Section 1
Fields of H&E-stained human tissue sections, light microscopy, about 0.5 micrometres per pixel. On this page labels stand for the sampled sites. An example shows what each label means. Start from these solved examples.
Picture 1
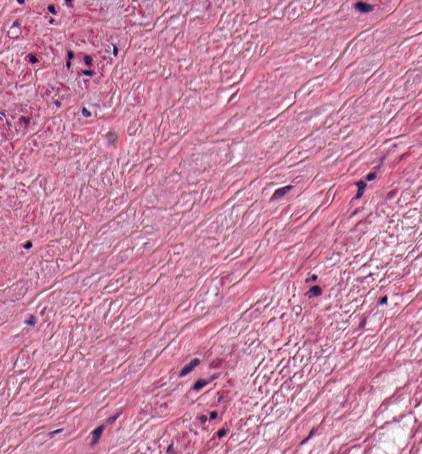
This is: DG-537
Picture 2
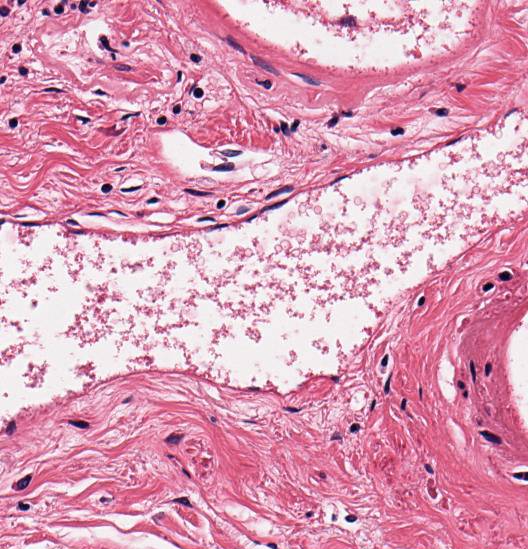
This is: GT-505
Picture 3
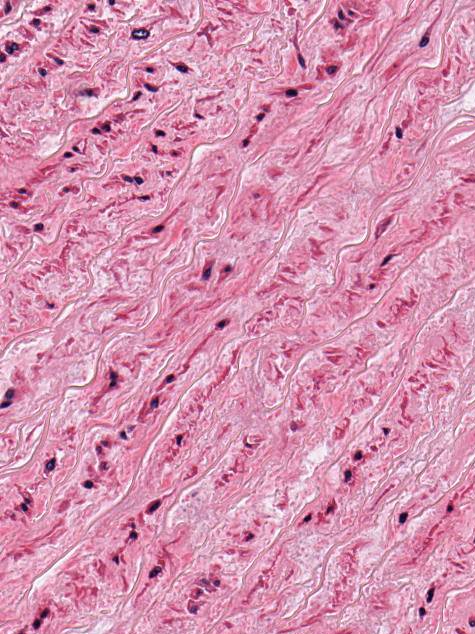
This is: DG-537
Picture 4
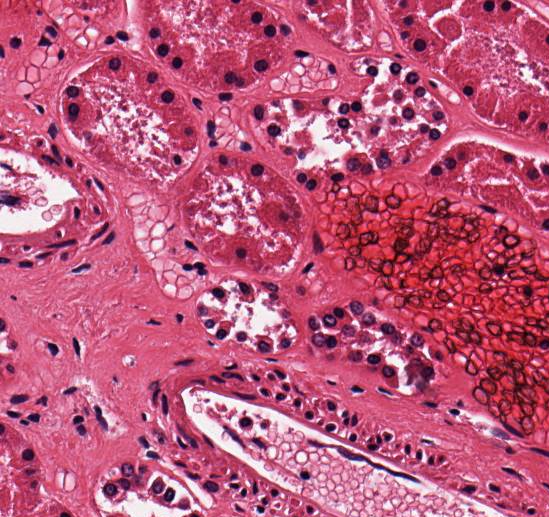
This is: GT-505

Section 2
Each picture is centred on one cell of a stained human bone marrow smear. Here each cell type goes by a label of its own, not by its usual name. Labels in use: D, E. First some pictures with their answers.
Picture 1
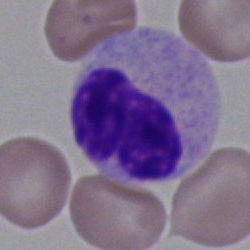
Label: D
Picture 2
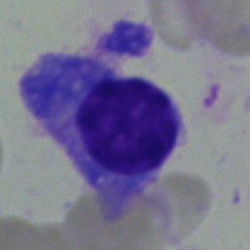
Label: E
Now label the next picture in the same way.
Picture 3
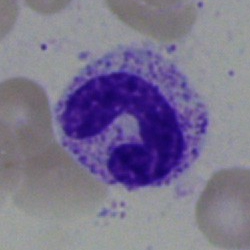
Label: D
